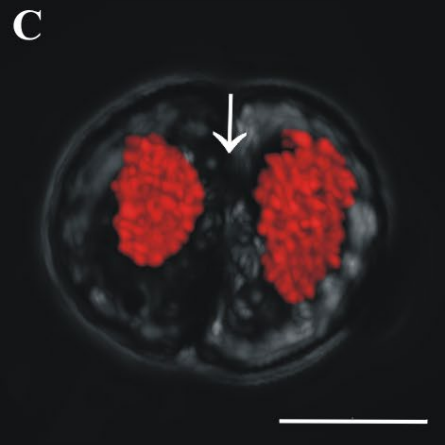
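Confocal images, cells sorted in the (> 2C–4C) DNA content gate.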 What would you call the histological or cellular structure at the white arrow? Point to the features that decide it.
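Dividing furrows. A dark line runs across the cell between the two red nuclei. The cell outline is notched at the top where the arrow points.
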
